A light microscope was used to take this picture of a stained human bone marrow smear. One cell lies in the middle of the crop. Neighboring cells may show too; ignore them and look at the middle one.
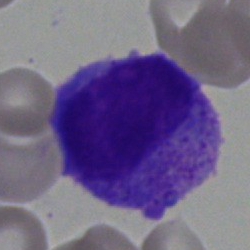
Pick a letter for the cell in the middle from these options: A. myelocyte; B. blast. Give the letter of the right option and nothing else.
B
